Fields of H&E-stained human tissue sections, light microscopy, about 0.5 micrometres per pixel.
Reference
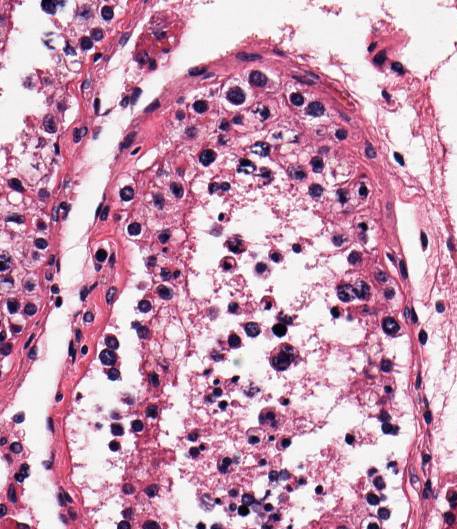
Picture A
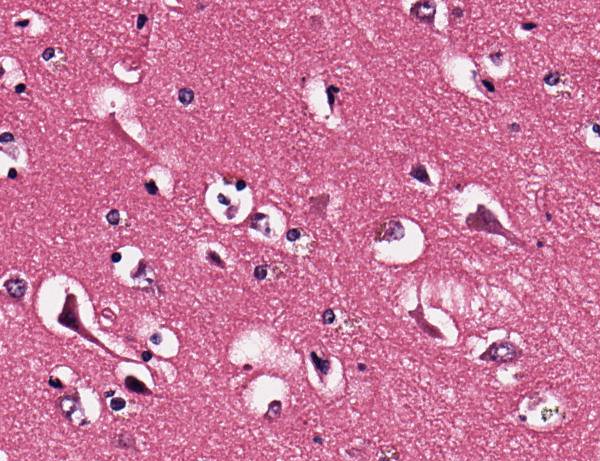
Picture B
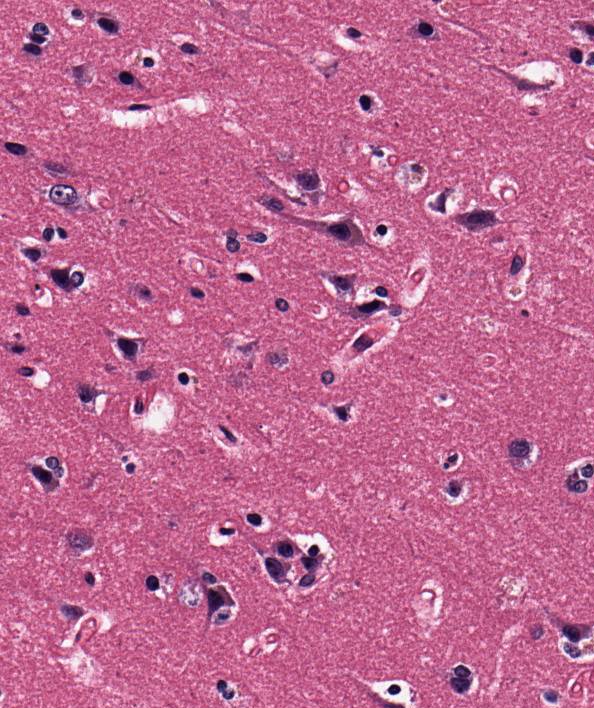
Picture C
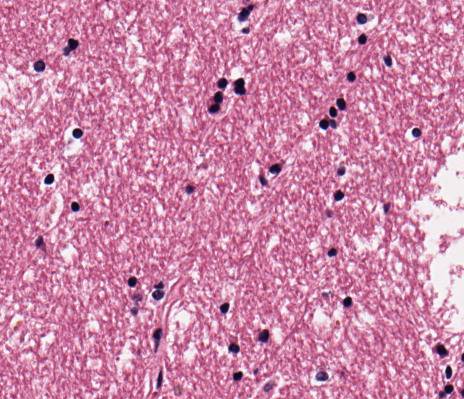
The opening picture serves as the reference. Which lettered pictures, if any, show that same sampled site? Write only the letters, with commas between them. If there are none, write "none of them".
none of them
